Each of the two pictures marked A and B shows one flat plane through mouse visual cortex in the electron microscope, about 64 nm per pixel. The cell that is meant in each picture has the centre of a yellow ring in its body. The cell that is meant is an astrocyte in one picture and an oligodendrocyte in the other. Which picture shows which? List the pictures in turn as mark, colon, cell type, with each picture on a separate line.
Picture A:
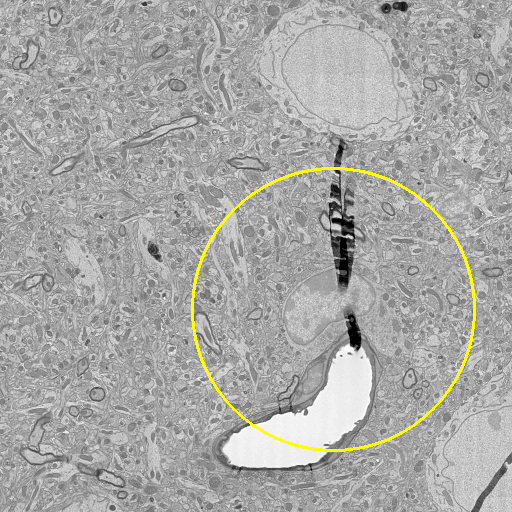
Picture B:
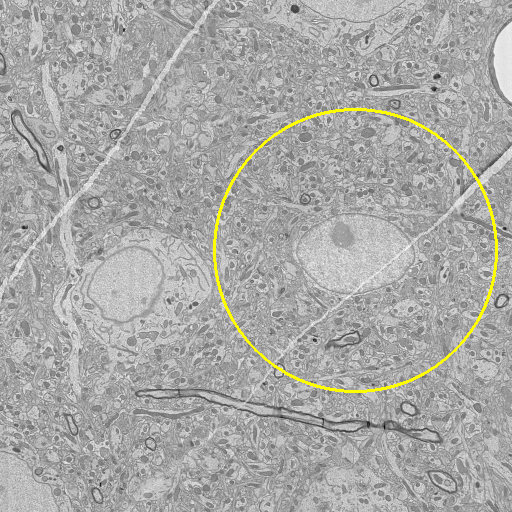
A: oligodendrocyte
B: astrocyte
